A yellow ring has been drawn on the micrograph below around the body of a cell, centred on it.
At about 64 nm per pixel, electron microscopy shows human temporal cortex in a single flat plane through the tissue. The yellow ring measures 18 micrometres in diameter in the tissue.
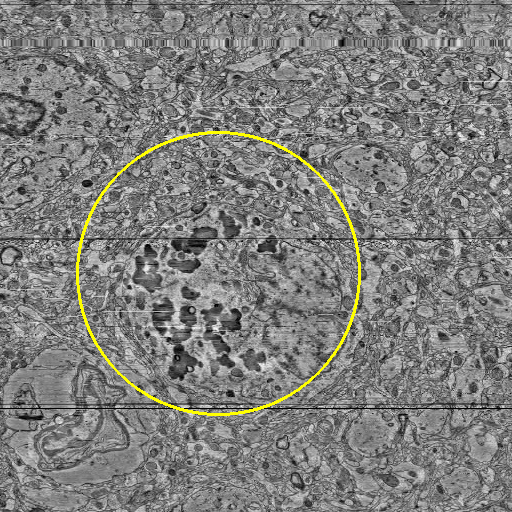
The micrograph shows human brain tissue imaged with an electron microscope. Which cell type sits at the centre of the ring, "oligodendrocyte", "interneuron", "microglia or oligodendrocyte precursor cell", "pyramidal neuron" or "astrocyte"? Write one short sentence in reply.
The cell sitting at the centre of the ring is an interneuron.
